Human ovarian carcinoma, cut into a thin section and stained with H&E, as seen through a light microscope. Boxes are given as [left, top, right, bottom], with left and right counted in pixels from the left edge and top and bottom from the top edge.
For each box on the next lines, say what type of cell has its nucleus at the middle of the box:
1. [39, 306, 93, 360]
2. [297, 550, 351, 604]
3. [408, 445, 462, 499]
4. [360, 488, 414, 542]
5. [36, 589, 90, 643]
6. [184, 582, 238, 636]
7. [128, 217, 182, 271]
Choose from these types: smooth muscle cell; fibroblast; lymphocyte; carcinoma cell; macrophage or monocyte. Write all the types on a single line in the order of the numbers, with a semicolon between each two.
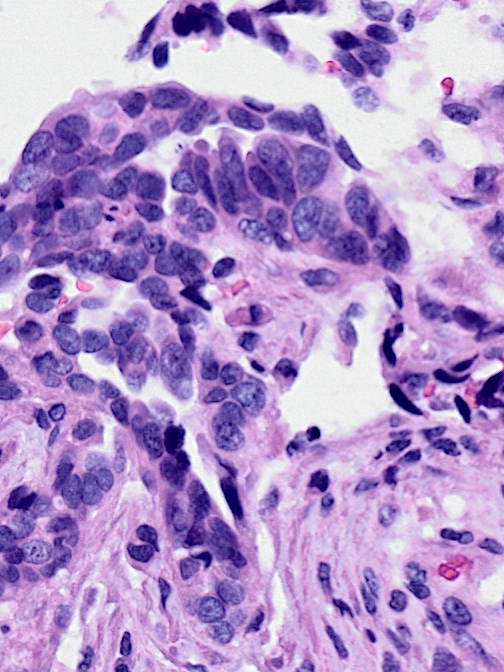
carcinoma cell; fibroblast; fibroblast; fibroblast; fibroblast; carcinoma cell; carcinoma cell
